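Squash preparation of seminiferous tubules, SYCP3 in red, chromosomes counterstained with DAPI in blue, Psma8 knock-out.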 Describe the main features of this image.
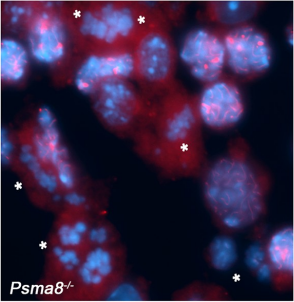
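Many cells contain condensed blue chromatin clusters rather than rounded nuclei, with the red signal spread diffusely through the cell or as small dots. These cells lie crowded together and several have irregular, fragmented-looking chromatin.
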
